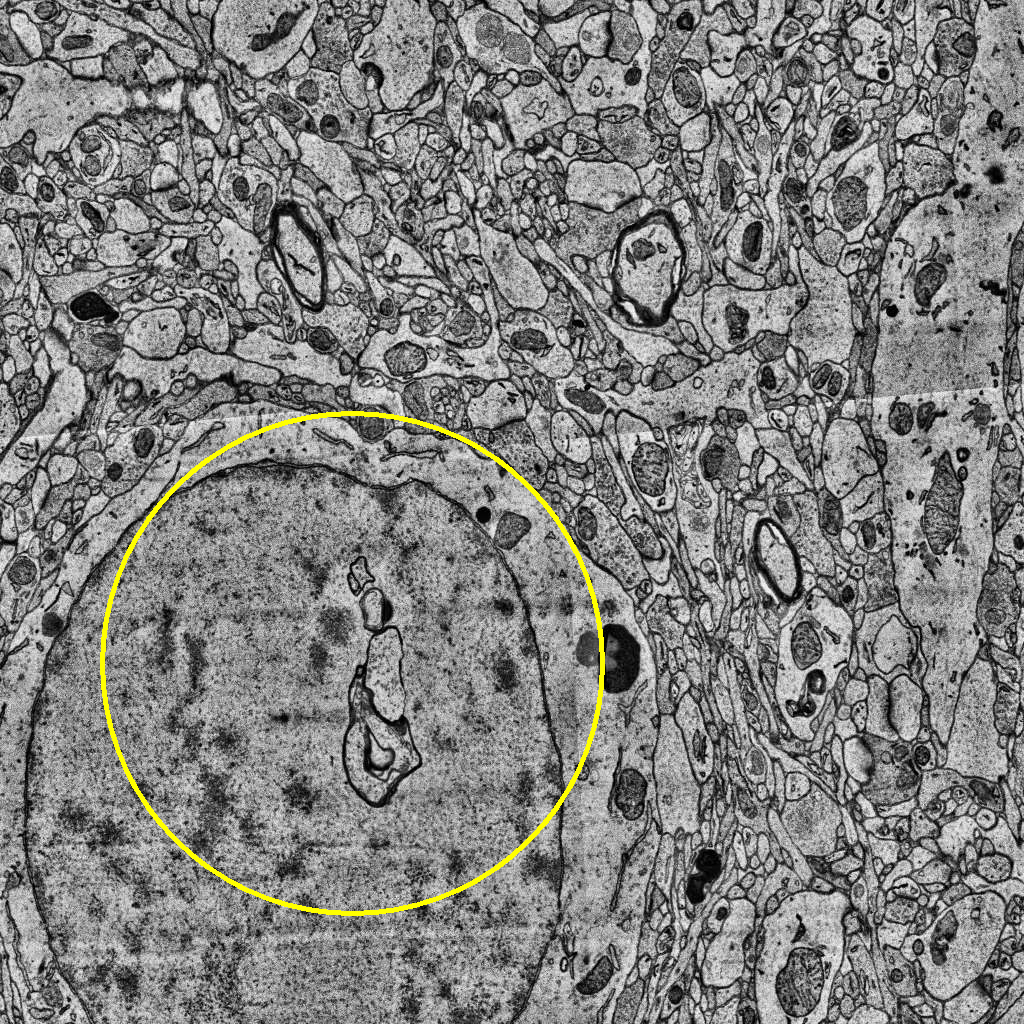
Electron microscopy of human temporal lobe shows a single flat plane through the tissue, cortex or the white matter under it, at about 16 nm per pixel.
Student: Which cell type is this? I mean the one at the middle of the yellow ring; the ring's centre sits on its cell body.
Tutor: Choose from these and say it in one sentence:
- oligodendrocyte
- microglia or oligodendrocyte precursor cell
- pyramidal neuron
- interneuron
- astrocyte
The cell at the ring's centre is a pyramidal neuron.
